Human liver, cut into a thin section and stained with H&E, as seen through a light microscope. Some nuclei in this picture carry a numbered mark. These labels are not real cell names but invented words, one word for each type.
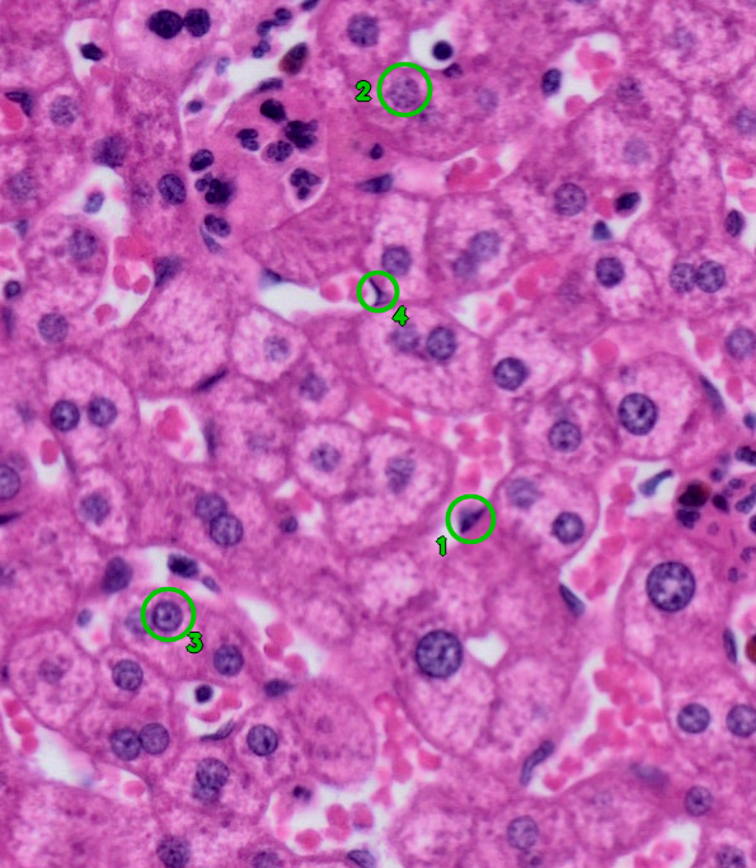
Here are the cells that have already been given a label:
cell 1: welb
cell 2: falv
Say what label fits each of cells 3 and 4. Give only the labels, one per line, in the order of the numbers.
falv
welb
